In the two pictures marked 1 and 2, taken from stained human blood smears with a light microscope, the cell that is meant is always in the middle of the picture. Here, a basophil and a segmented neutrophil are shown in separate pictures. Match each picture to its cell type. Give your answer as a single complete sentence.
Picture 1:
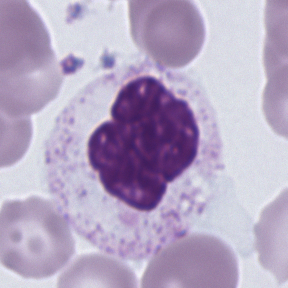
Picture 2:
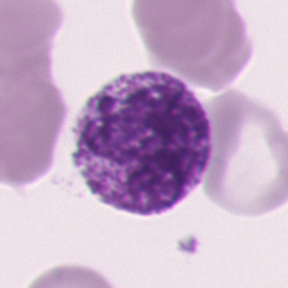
In picture 1 the cell is a segmented neutrophil; in picture 2, a basophil.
